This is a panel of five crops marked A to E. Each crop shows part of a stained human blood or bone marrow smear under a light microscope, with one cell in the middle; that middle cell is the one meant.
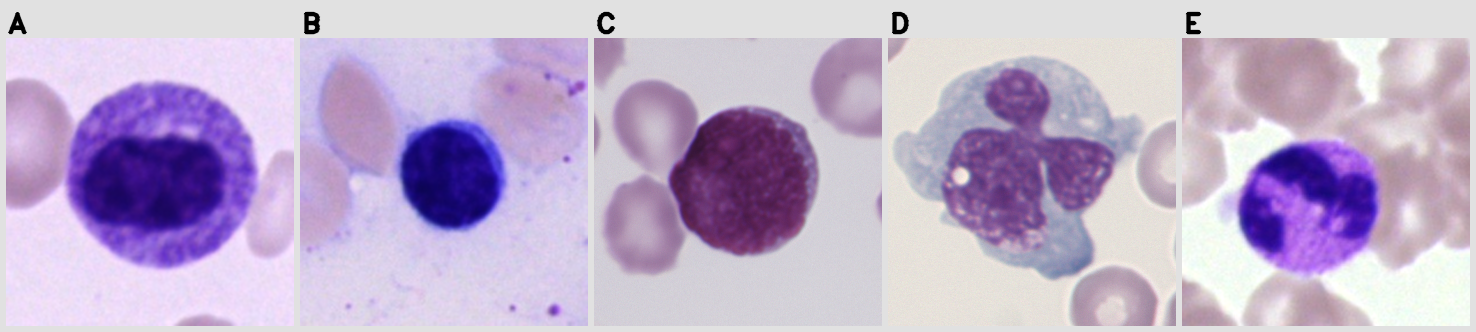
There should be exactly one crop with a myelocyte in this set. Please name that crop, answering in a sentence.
The one that shows a myelocyte is crop A.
